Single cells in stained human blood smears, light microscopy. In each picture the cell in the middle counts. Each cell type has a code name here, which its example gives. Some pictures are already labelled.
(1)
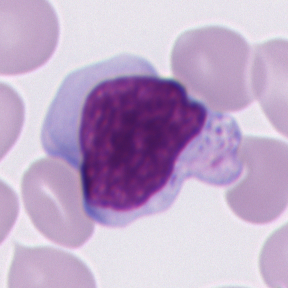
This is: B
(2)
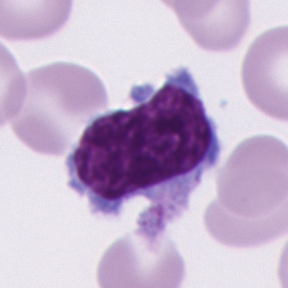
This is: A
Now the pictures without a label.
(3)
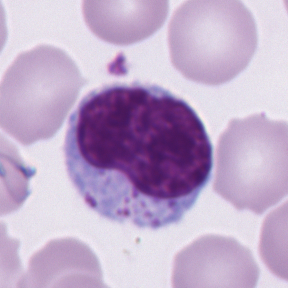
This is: B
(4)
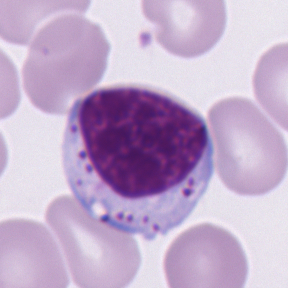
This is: B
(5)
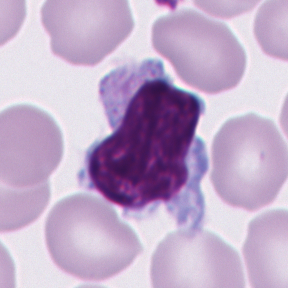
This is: A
